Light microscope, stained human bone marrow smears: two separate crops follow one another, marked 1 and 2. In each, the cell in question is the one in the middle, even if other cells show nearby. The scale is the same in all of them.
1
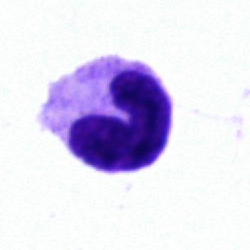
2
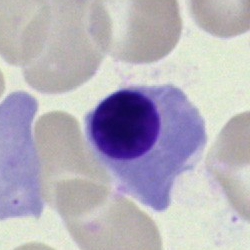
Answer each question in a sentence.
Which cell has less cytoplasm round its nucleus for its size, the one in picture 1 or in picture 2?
Of the two, the nucleus in picture 1 makes up the greater part of its cell.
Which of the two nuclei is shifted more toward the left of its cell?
Seen within its cell, the nucleus in picture 2 lies further toward the left.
